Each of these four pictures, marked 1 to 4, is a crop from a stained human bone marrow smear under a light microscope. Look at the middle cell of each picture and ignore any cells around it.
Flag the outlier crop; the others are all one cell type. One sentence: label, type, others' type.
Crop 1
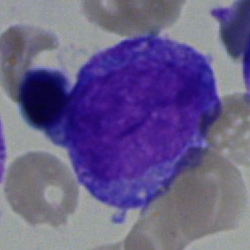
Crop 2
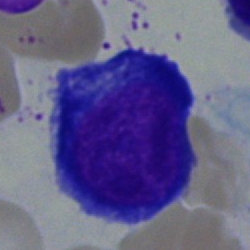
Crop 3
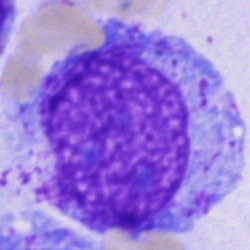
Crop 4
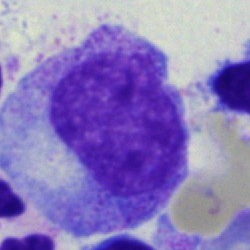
All the crops show promyelocytes, barring crop 2, which is a proerythroblast.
